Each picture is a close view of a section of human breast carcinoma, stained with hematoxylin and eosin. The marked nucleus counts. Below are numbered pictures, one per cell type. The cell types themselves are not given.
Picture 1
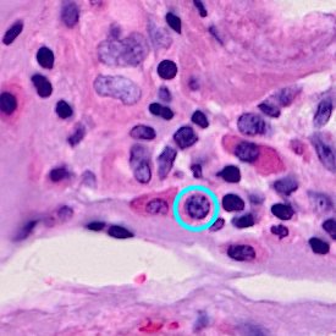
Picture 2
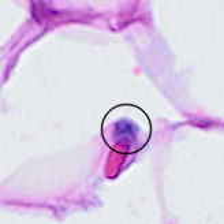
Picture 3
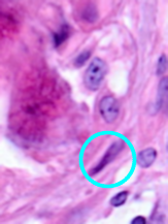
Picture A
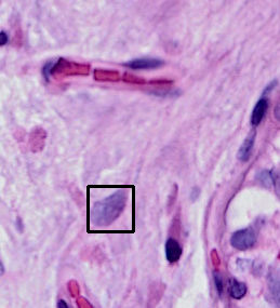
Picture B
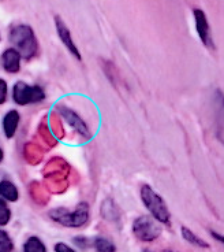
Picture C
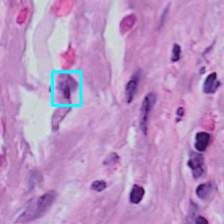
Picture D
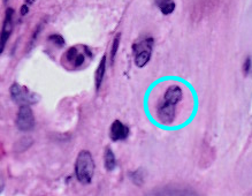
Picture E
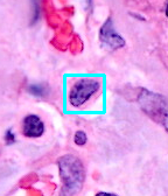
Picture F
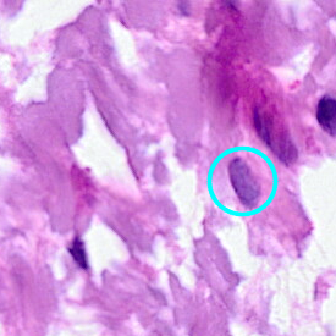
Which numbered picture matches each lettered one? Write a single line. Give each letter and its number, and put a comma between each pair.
A 3, B 2, C 3, D 1, E 1, F 3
